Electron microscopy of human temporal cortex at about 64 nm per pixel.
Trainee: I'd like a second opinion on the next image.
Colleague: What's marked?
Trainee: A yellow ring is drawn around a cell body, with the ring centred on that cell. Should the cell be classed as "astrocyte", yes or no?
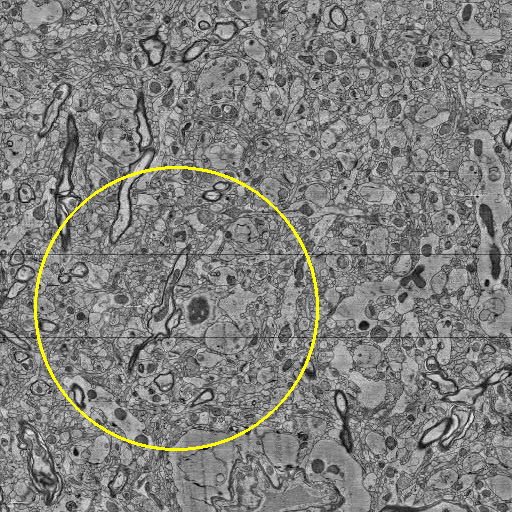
No, it should be classed as another kind.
